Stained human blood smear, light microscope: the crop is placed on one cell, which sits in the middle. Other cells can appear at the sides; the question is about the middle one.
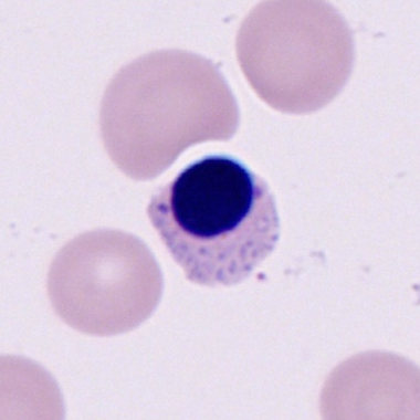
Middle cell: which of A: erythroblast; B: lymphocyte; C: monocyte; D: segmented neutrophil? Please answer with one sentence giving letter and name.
The centrally located cell is an erythroblast, making option A the correct choice.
